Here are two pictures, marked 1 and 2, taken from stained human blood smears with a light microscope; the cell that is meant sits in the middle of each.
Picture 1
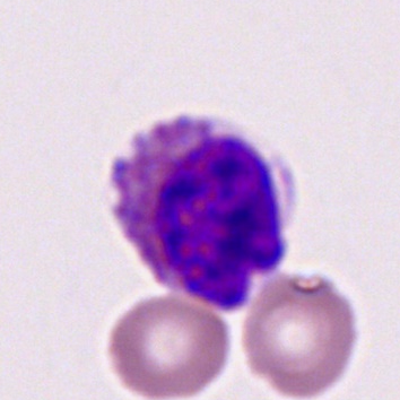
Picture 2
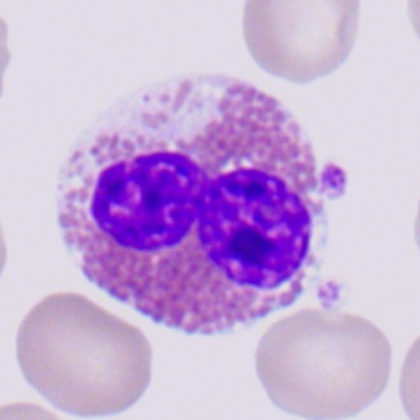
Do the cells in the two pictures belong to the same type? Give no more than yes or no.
yes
